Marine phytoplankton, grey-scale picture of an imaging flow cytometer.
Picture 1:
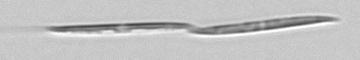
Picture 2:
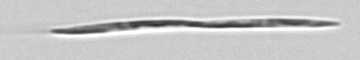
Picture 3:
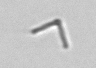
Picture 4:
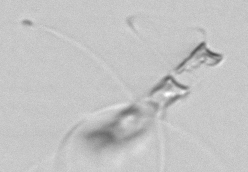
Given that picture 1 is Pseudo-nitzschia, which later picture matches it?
2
